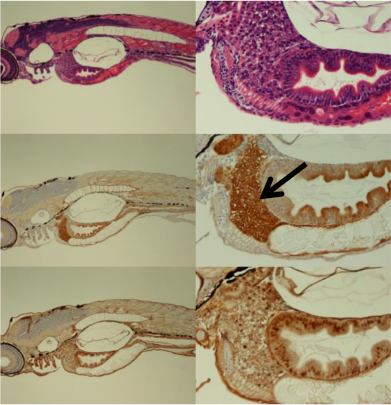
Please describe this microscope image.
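At higher magnification the liver appears as a compact mass of rounded to polygonal cells with small nuclei, lying next to the gut. The gut is a tube whose lining epithelium is thrown into tall folds. In the haematoxylin and eosin sections nuclei are purple and cytoplasm pink.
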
